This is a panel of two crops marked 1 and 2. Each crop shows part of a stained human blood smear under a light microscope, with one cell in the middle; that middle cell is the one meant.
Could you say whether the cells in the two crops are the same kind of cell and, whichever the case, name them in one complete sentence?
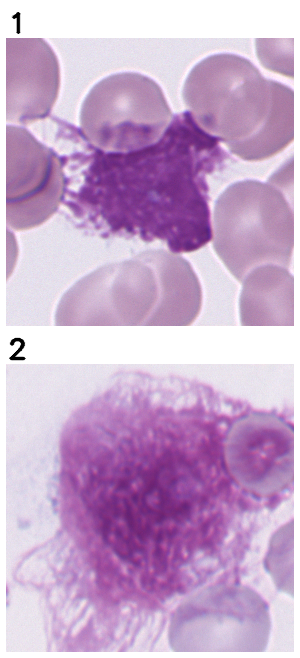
Yes, the cells centred in the two crops are both smudge cells.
